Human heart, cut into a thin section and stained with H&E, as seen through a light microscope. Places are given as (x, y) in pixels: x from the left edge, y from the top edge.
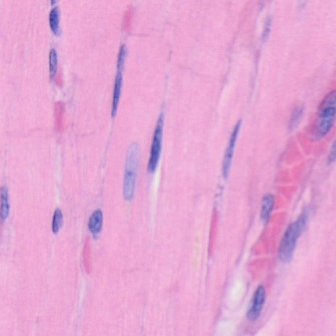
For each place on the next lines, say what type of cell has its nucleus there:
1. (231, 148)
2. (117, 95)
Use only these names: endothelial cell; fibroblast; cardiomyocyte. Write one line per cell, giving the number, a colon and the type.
1: endothelial cell
2: fibroblast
